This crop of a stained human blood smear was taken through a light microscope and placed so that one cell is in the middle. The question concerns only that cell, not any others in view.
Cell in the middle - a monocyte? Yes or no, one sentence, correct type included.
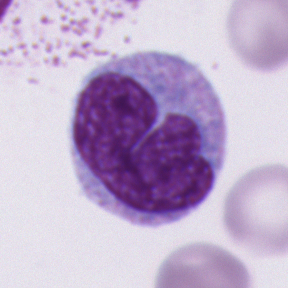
Yes, the cell found in the center of the crop is a monocyte.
